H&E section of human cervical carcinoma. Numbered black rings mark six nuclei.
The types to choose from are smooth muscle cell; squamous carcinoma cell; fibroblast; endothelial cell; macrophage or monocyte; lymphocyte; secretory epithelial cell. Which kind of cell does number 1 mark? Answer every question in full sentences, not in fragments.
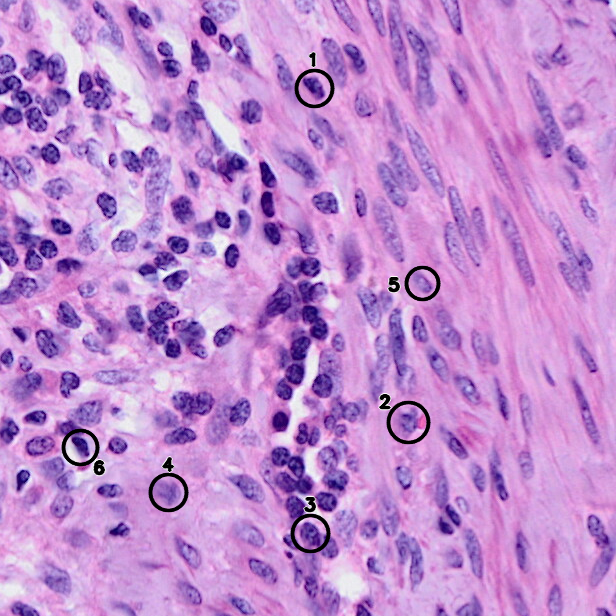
Belonging to a lymphocyte is the nucleus that carries the number 1.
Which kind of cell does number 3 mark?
In the marked set, the cell given number 3 is a lymphocyte.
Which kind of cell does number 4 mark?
Cell 4 of the marked set is a fibroblast.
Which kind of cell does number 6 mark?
Here the cell numbered 6 is a lymphocyte.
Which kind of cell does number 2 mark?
In this section, the cell numbered 2 is an endothelial cell.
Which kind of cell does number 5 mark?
The cell bearing label 5 corresponds to a smooth muscle cell.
